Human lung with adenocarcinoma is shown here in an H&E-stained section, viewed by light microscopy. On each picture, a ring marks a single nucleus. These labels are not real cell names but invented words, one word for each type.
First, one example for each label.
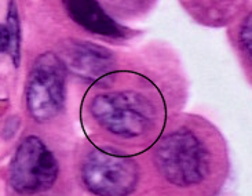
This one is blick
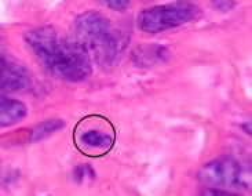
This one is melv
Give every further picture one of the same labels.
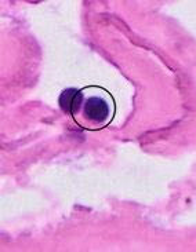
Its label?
melv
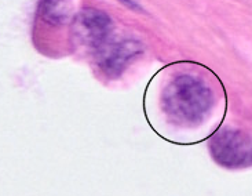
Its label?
blick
